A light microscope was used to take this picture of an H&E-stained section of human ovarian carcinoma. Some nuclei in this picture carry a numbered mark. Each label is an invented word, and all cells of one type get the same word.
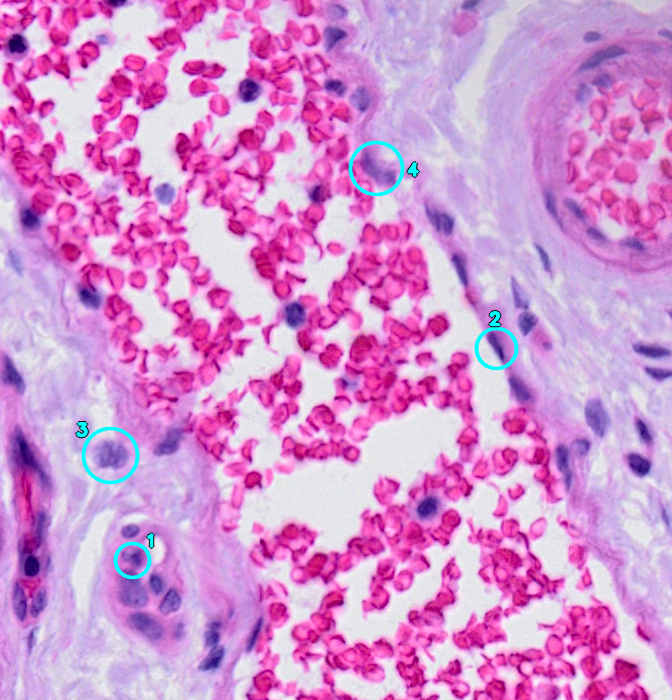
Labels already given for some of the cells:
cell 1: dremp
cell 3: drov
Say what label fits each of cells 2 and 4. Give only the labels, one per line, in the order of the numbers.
dremp
dremp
